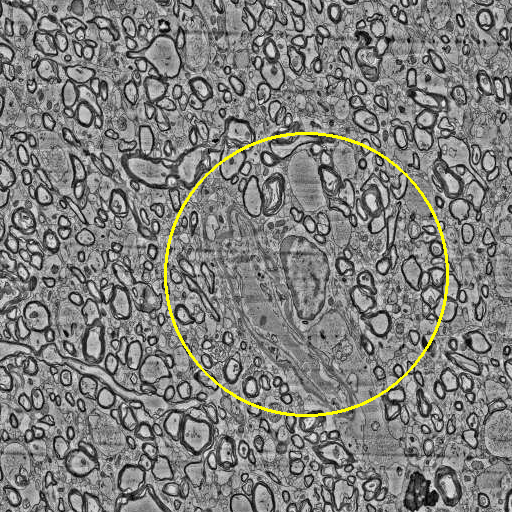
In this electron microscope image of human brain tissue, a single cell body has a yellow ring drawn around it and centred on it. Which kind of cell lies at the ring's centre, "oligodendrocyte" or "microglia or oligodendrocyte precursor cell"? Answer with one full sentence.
It is a microglial cell or oligodendrocyte precursor cell whose cell body lies at the centre of the yellow ring here.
